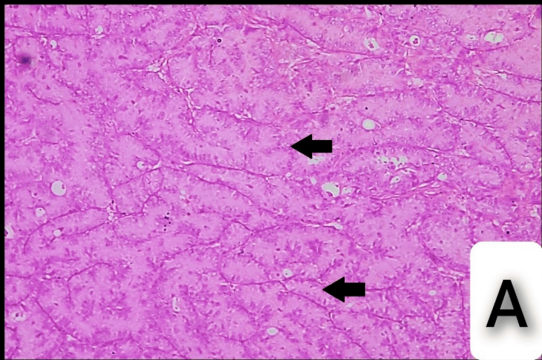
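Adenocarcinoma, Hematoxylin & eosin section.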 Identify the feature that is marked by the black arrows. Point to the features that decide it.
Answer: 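Closely packed glands. Little stroma separates the lumina.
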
